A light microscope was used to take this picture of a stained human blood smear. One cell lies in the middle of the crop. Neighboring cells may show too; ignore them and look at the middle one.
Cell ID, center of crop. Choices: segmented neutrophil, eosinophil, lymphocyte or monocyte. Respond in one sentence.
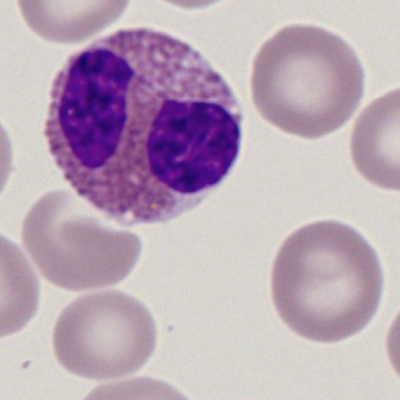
The cell featured at the centre of this crop is an eosinophil.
